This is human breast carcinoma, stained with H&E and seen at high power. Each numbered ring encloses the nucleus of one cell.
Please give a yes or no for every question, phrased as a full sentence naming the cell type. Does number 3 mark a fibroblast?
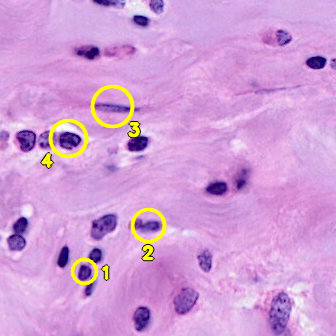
Yes, as for number 3, the cell is a fibroblast.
